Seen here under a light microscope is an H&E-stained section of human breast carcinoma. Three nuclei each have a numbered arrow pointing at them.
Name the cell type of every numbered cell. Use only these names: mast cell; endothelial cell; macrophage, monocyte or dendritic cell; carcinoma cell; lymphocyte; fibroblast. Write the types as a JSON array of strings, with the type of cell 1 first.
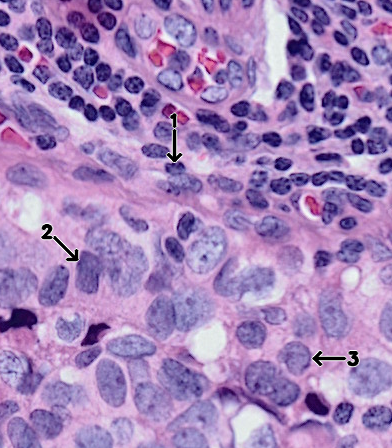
["lymphocyte", "carcinoma cell", "carcinoma cell"]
